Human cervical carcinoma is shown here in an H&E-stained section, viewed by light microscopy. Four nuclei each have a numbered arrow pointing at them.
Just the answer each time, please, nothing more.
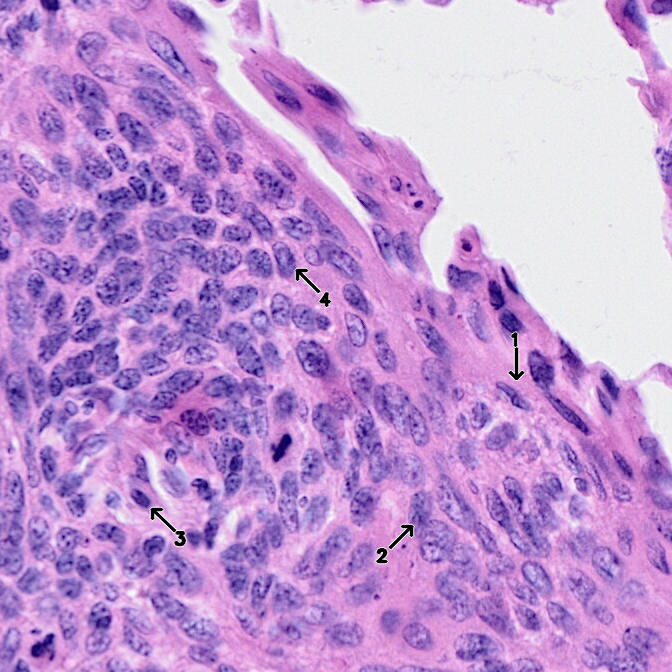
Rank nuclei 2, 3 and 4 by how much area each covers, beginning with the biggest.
2, 4, 3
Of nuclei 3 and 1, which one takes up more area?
1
